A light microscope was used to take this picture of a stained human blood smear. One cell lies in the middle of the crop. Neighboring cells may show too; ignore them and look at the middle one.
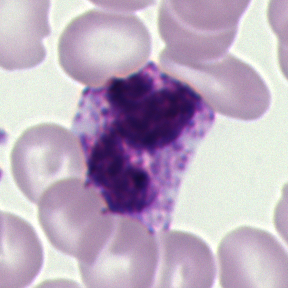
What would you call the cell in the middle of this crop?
basophil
